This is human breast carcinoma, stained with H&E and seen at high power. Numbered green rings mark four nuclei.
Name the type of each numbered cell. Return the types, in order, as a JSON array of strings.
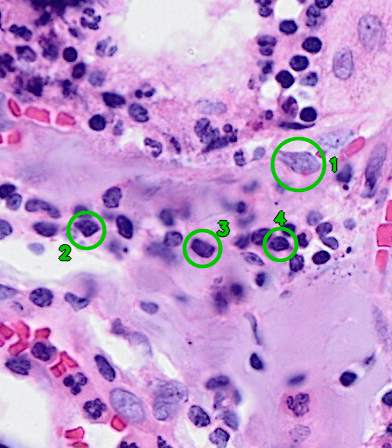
["endothelial cell", "lymphocyte", "lymphocyte", "lymphocyte"]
